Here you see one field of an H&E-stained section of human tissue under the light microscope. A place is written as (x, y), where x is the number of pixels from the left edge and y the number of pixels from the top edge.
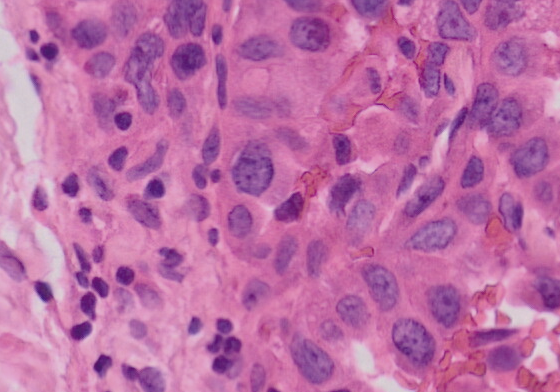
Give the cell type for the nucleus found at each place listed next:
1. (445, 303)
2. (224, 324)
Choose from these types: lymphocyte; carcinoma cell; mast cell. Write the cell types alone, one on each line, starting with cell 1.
carcinoma cell
lymphocyte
